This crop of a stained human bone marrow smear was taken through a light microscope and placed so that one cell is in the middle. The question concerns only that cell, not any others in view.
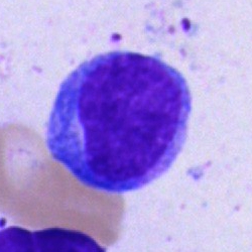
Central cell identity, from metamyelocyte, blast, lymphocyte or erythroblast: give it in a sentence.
The middle position in this crop is taken by a blast.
